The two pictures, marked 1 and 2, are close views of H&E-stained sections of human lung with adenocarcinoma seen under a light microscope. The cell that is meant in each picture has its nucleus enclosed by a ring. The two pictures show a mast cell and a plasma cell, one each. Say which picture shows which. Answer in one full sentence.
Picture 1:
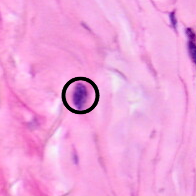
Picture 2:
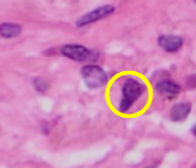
Picture 2 shows a plasma cell, while picture 1 shows a mast cell.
